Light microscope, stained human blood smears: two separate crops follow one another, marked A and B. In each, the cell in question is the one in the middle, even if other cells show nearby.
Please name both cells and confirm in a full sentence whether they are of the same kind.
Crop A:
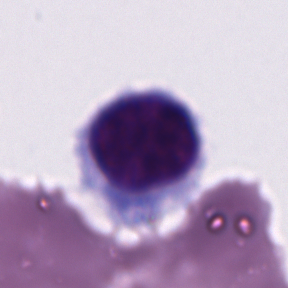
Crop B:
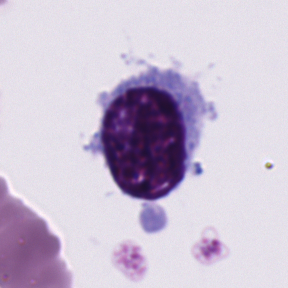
Yes, at the centre of both crops are hairy cells.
